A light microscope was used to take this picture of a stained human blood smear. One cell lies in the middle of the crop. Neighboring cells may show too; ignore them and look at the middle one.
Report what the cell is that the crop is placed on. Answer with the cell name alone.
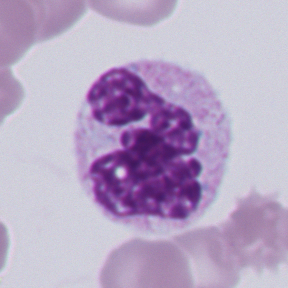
segmented neutrophil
